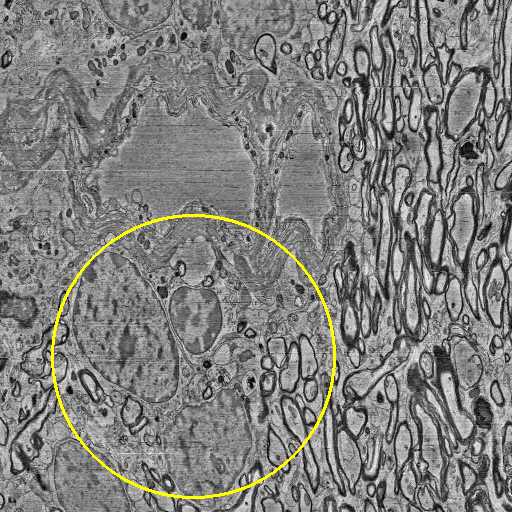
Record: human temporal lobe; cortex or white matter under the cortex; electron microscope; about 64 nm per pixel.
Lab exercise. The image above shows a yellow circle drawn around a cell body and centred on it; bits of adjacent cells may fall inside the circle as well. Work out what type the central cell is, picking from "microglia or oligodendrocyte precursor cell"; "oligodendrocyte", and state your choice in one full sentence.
In the image above, the cell at the centre of the yellow circle is a microglial cell or oligodendrocyte precursor cell.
